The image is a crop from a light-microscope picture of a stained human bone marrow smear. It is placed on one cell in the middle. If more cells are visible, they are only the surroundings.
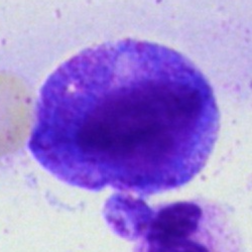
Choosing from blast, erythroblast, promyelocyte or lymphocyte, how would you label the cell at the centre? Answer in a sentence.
This crop has a promyelocyte at its centre.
